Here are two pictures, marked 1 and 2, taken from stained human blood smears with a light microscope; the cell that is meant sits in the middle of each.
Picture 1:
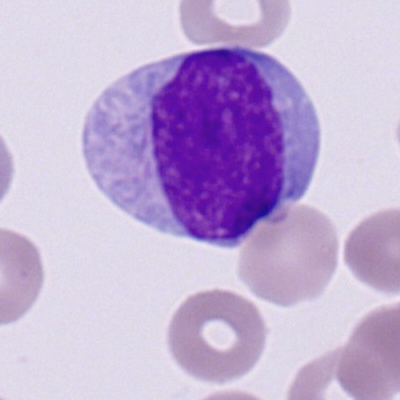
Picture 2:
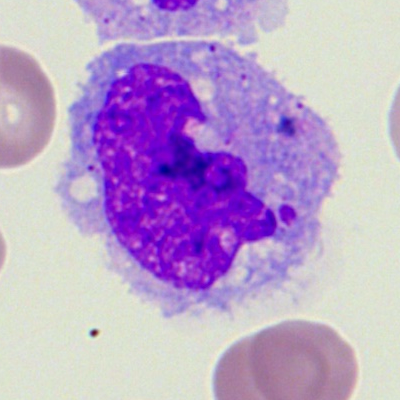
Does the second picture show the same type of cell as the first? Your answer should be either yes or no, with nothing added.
no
